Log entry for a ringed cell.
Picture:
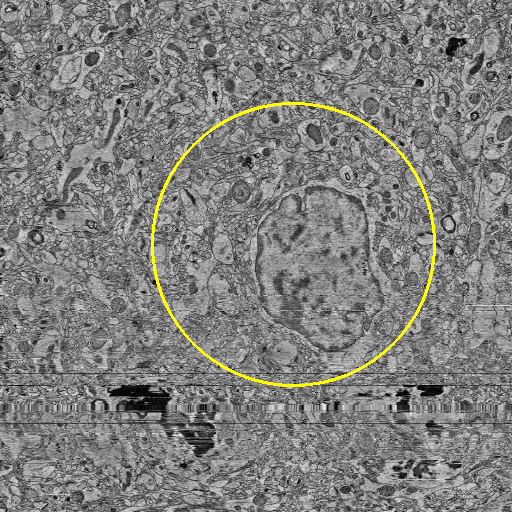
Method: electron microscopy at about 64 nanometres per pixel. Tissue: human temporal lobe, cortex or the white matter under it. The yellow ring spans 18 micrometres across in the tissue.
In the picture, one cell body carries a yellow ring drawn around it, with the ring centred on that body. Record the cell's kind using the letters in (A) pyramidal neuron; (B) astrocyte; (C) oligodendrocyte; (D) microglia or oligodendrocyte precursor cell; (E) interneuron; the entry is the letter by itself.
D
